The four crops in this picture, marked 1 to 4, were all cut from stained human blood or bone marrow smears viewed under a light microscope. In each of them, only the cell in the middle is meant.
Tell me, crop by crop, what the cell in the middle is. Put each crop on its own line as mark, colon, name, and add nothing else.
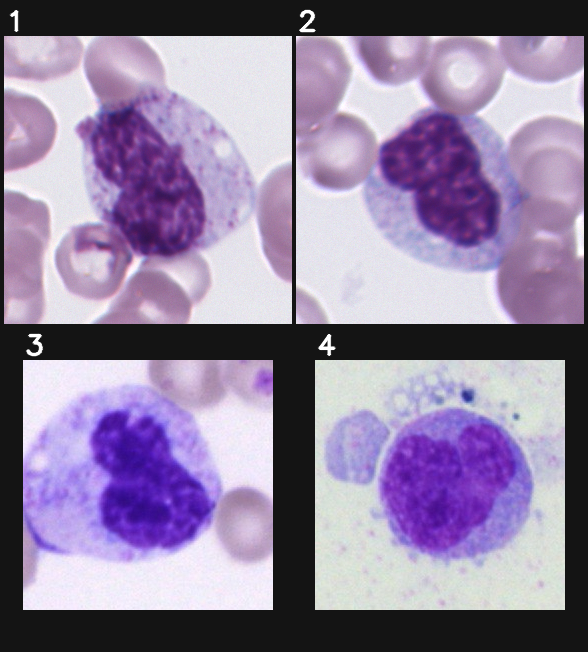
1: metamyelocyte
2: band neutrophil
3: metamyelocyte
4: monocyte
